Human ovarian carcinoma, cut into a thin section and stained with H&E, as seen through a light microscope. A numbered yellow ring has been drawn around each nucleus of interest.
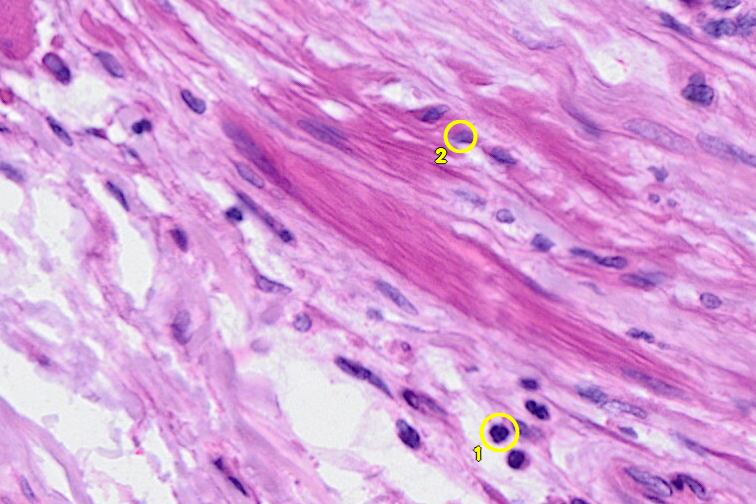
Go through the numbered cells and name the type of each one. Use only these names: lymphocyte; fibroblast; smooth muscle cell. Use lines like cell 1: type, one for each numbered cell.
cell 1: lymphocyte
cell 2: smooth muscle cell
